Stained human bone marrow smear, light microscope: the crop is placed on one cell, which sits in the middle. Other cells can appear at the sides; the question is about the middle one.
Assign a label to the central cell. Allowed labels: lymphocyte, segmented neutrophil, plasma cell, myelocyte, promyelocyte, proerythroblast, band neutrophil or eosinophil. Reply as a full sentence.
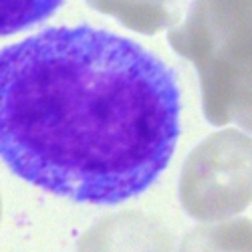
For this crop, the central cell is a promyelocyte.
